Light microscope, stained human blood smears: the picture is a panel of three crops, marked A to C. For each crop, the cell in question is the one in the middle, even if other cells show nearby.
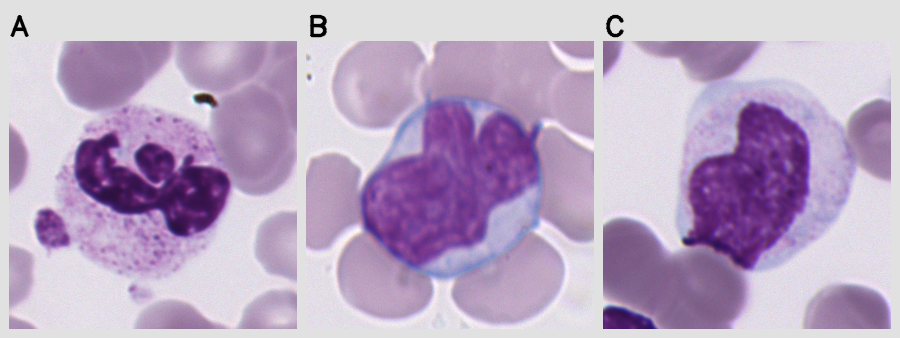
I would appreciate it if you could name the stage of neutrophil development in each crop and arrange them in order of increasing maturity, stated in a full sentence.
Ranked from the least mature cell to the most mature, they are crop B (a myeloblast), crop C (a metamyelocyte) and crop A (a segmented neutrophil).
